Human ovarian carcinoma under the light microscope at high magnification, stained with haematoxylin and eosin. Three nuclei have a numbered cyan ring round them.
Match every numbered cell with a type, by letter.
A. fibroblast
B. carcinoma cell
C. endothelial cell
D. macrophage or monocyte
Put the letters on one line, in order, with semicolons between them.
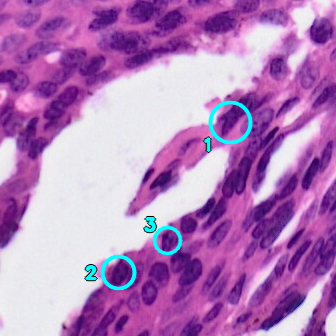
B; B; D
